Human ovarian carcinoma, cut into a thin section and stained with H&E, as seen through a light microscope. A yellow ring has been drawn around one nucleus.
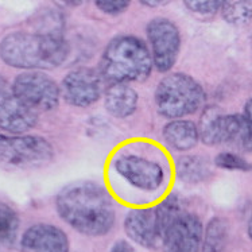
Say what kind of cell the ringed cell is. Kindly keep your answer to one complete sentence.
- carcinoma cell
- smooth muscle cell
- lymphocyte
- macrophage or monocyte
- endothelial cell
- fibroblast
As for its identity, the ringed cell is a macrophage or monocyte.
